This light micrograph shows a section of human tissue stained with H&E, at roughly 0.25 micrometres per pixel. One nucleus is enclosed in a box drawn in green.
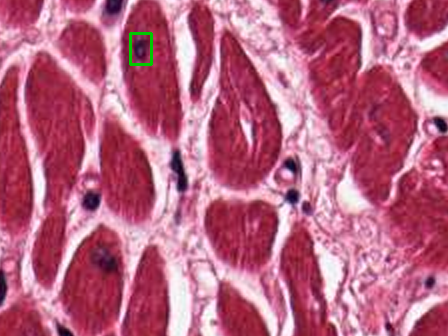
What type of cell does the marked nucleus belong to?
cardiomyocyte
